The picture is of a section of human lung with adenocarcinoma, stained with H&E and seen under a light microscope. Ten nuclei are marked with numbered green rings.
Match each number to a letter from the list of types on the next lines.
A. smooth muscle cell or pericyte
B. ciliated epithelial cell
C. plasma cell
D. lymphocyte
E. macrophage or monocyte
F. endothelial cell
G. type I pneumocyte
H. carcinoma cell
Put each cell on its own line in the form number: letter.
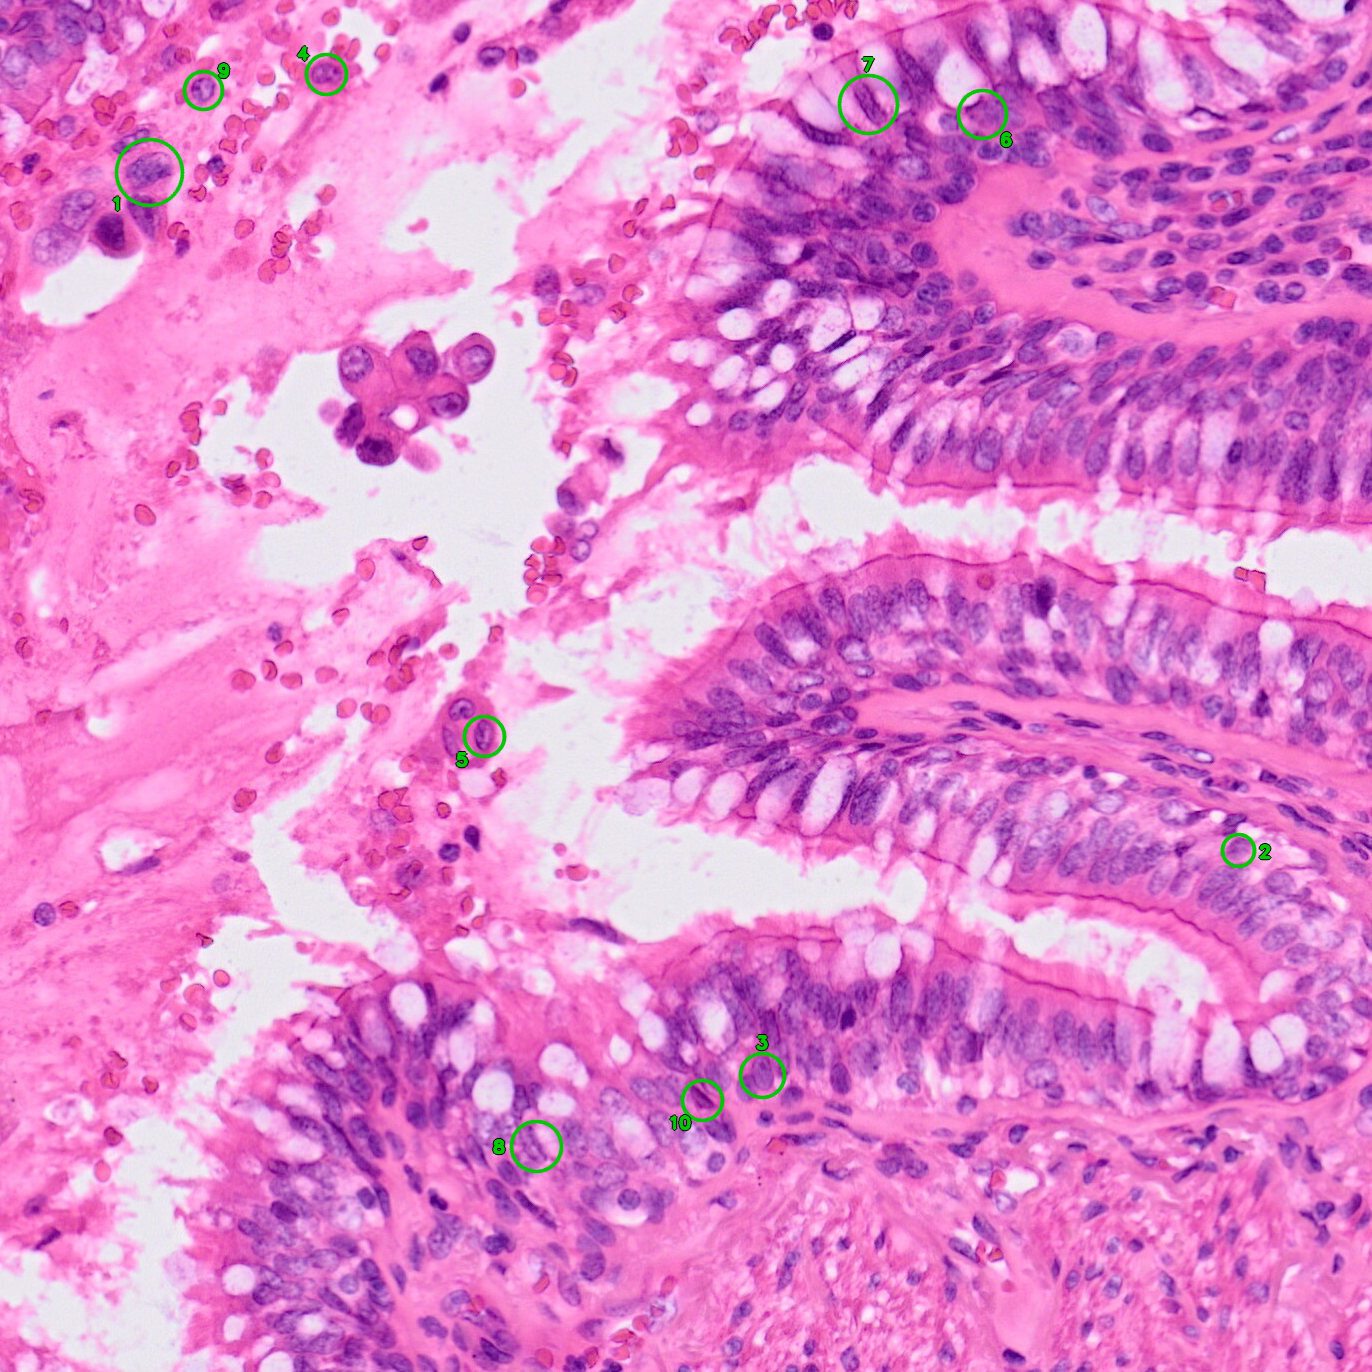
1: H
2: B
3: B
4: E
5: E
6: B
7: B
8: B
9: E
10: B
